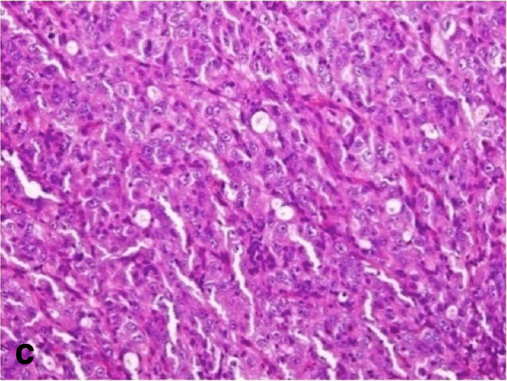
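Here a poorly differentiated adenocarcinoma grows as crowded sheets and cords of atypical tumor cells with pink cytoplasm and enlarged nuclei, some with prominent nucleoli. Scattered through the sheets are small round punched-out lumina, the only hint of gland formation, and elongated clefts run between the cords. Darker, more tightly packed cell groups alternate with paler ones, giving a mottled look.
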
